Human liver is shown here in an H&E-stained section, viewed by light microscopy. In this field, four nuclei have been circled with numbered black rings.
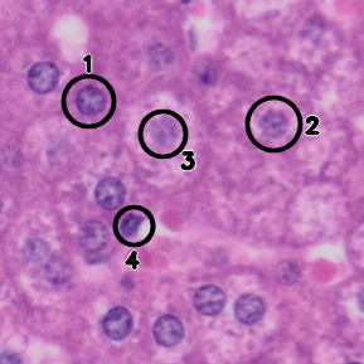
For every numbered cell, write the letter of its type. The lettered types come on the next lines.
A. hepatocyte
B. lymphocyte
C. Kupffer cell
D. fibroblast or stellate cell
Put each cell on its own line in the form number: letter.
1: A
2: A
3: A
4: D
